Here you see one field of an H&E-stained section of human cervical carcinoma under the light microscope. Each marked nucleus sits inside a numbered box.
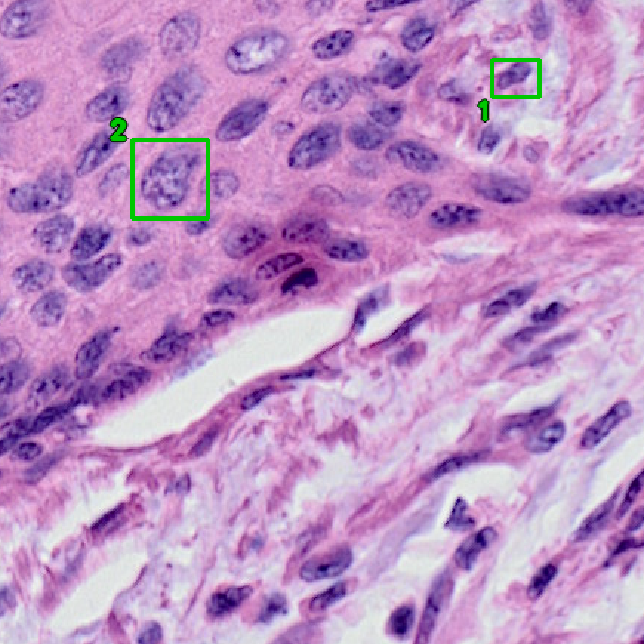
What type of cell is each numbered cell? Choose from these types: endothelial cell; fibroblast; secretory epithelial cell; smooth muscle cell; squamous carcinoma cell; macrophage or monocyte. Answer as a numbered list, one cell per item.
1. fibroblast
2. squamous carcinoma cell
